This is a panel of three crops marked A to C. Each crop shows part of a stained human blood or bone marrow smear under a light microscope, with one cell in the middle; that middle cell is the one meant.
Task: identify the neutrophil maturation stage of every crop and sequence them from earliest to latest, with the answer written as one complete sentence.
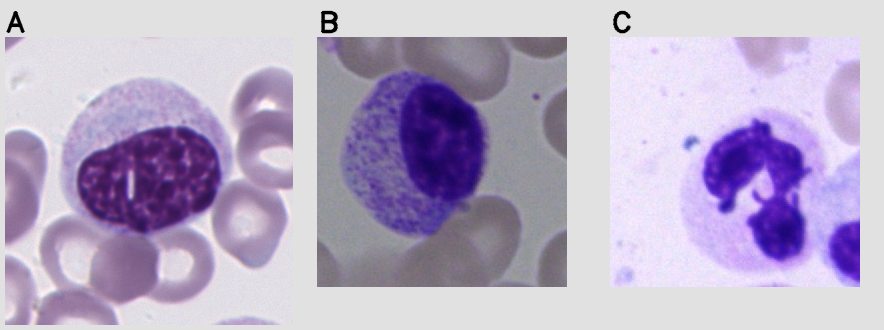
Ordered least to most mature, the series reads crop B (a myelocyte), crop A (a metamyelocyte) and crop C (a segmented neutrophil).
